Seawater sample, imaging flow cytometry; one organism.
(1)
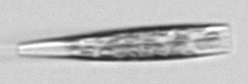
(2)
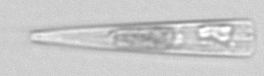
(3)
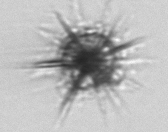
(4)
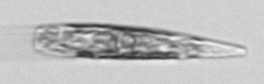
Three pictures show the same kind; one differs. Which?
Picture 3: a radiolarian, while the others are Licmophora.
